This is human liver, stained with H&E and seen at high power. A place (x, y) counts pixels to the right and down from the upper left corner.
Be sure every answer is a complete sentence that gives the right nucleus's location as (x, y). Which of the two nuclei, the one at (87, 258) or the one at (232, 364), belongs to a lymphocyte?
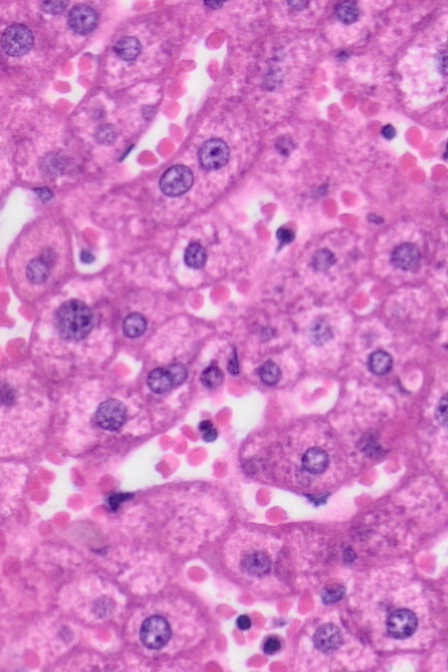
Between the pair, the nucleus at (87, 258) belongs to a lymphocyte.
